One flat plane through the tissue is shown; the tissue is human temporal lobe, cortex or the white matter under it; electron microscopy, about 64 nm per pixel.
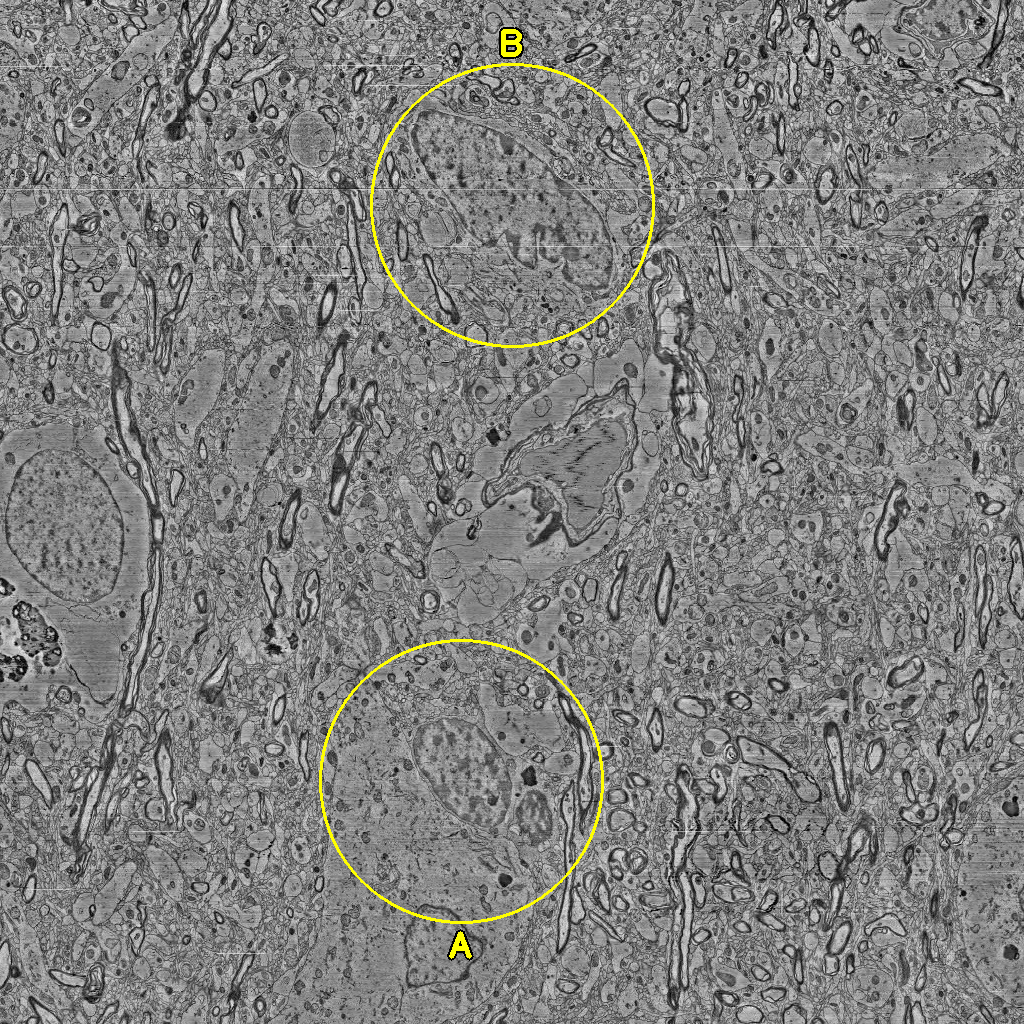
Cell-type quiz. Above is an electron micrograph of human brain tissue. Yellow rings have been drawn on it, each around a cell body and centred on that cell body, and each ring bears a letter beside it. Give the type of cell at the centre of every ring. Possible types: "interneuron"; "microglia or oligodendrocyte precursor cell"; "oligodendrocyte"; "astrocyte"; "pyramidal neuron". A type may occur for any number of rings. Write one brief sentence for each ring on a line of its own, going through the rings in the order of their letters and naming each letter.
Ring A is centred on the cell body of an oligodendrocyte.
Ring B is centred on the cell body of a microglial cell or oligodendrocyte precursor cell.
